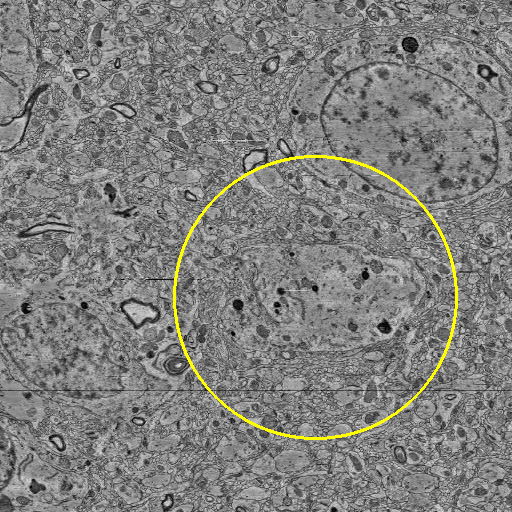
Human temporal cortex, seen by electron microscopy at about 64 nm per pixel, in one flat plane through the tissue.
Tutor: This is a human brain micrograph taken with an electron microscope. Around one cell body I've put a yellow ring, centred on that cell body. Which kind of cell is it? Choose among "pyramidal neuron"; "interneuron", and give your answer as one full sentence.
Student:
Going by your list, the cell centred in the yellow ring is a pyramidal neuron.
